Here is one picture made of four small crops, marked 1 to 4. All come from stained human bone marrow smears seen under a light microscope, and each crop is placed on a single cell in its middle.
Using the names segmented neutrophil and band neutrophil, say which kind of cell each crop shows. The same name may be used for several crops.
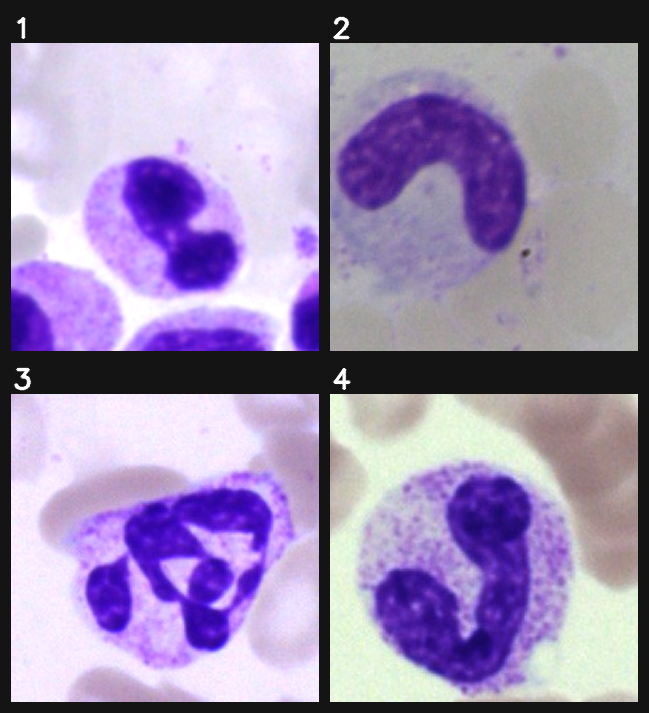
1: segmented neutrophil
2: band neutrophil
3: segmented neutrophil
4: band neutrophil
